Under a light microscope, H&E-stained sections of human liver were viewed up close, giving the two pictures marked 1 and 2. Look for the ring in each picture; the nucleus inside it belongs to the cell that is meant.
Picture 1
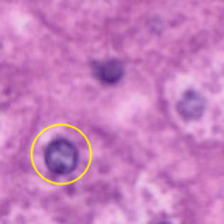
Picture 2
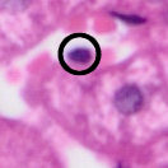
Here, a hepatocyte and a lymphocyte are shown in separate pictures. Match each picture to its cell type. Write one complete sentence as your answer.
In picture 1 the cell is a hepatocyte; in picture 2, a lymphocyte.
